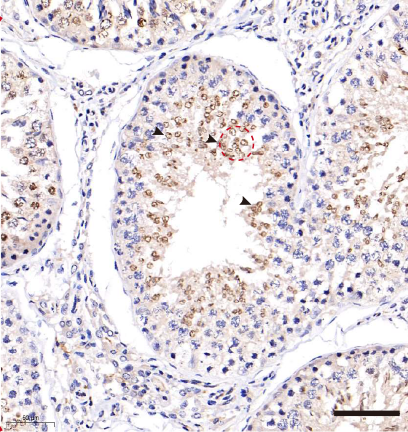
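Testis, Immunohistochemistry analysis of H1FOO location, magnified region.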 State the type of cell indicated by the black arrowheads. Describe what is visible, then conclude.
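Undeformed sperm cell. Small black arrowheads point at small brown-stained nuclei near the tubule lumen.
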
